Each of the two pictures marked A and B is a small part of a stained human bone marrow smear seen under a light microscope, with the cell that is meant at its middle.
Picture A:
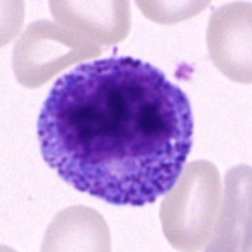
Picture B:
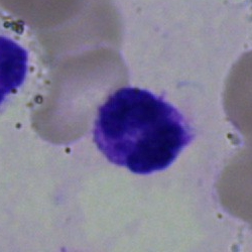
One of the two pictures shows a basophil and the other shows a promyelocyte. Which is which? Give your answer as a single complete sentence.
In picture A the cell is a promyelocyte; in picture B, a basophil.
